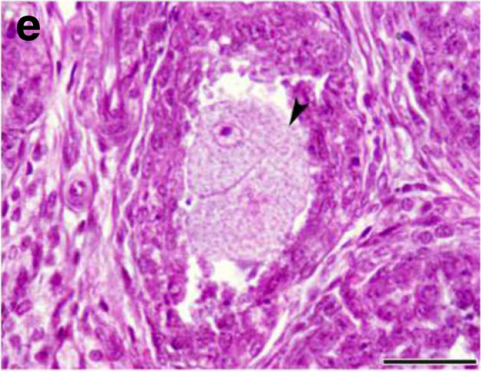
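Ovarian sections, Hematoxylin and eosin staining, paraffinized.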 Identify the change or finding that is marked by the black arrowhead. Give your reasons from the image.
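Two semi-fused oocytes. A thin line partly divides the pale cytoplasm of the central cell mass. The pale mass is enclosed by layers of follicle cells.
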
